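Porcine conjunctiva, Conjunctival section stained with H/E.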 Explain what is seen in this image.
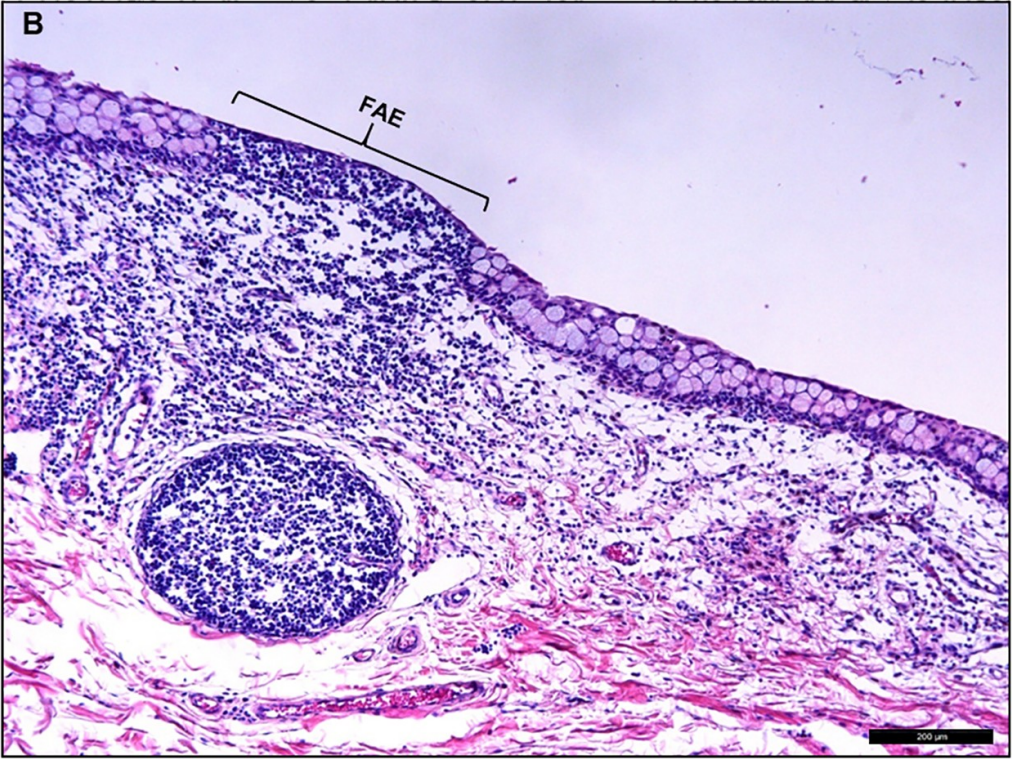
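Over one stretch of the surface the goblet cells are absent, and the epithelium there is thinner and crowded with small, dark-purple round cells. Beneath the epithelium a diffuse layer of small lymphocytes fills the loose stroma, and deeper down lies a round, well-delimited follicle of tightly packed lymphocytes bordered by a thin rim of connective tissue. Pink collagen bundles and small blood vessels occupy the deepest stroma.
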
